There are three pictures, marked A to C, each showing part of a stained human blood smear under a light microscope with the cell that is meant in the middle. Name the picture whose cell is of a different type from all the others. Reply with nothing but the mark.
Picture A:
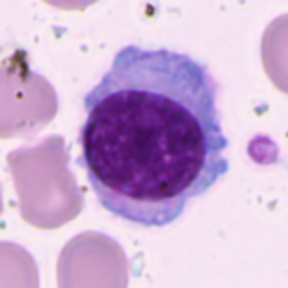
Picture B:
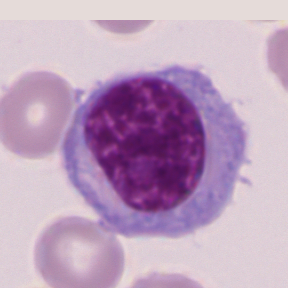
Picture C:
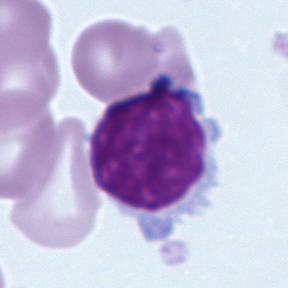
C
